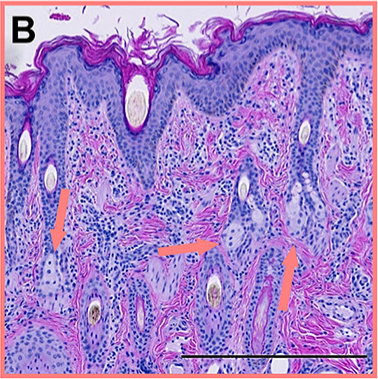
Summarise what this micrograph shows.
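This is a section of skin with an epidermis at the top and hair follicles and sebaceous glands lying in the dermis beneath. The purple stratified epidermis is covered by a thin pink cornified layer and sends a deep downgrowth into the dermis around a hair follicle. The dermis consists of pink collagen fibres with scattered dark nuclei. Hair follicles appear in longitudinal and cross section, some holding brownish hair shafts. Small, pale lobules of sebaceous gland cells lie next to the follicles.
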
